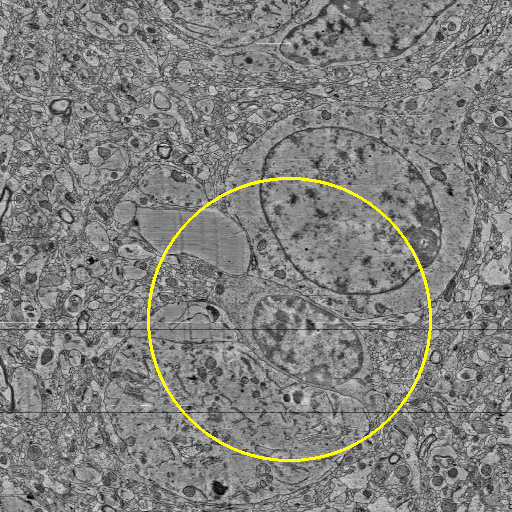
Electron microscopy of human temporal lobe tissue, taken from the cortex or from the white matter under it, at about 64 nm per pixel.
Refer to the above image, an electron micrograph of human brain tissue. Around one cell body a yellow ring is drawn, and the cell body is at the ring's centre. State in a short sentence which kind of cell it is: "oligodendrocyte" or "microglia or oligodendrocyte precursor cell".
The centre of the ring falls on an oligodendrocyte.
